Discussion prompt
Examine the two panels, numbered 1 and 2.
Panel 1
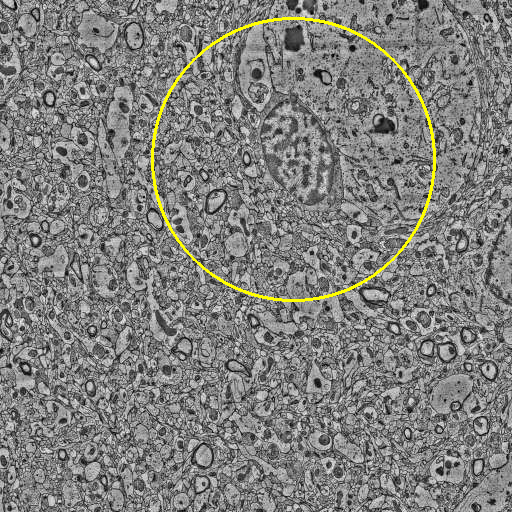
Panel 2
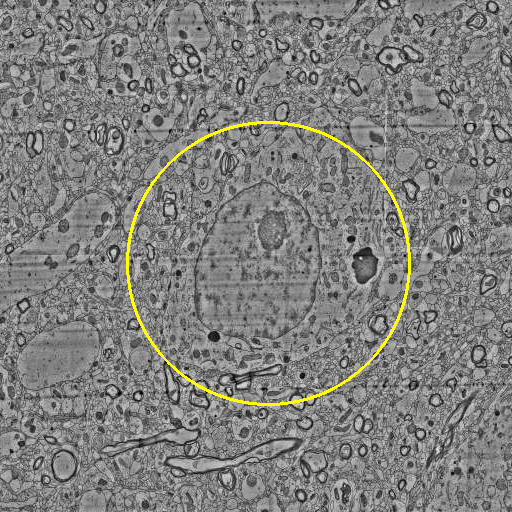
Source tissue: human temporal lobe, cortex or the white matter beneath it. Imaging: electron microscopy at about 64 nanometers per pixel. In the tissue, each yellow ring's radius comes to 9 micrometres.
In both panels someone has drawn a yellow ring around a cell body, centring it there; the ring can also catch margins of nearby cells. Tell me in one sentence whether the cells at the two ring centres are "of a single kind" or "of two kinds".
Taken together, the two cells centred in the rings of Panels 1 and 2 are of two kinds.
